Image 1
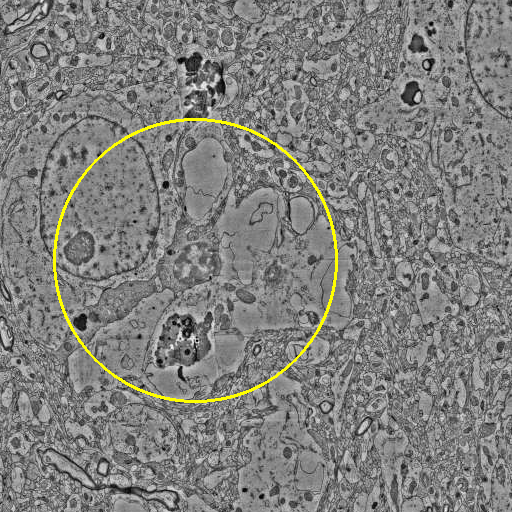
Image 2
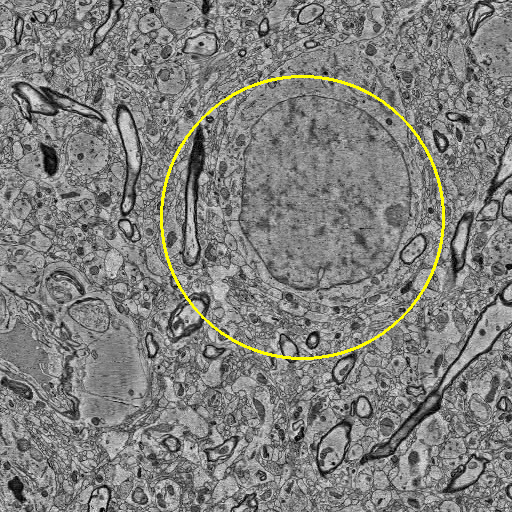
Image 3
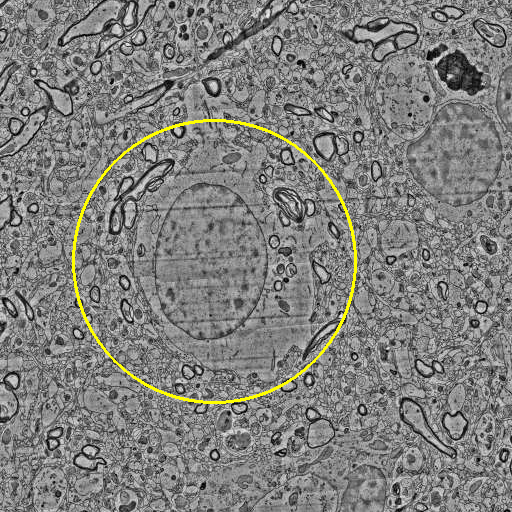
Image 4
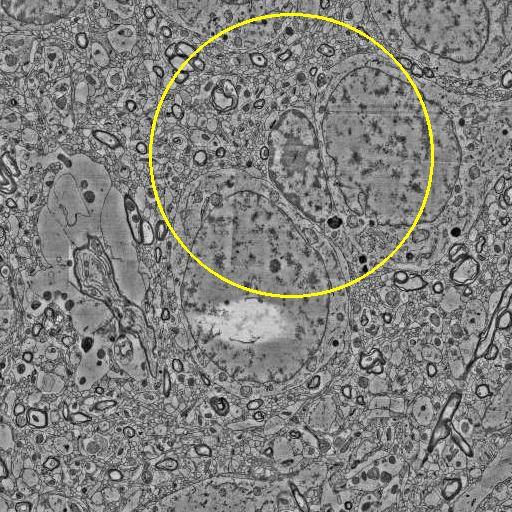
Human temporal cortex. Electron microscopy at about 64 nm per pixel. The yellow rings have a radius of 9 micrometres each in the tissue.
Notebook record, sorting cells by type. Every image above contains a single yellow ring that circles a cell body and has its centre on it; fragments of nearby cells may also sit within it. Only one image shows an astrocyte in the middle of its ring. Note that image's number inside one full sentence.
For image 3, the cell in the middle of its yellow ring is the match.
